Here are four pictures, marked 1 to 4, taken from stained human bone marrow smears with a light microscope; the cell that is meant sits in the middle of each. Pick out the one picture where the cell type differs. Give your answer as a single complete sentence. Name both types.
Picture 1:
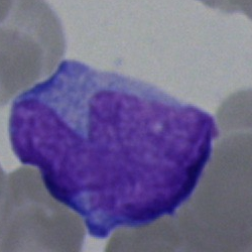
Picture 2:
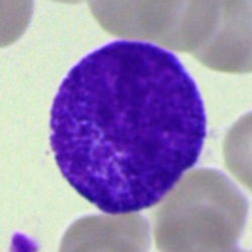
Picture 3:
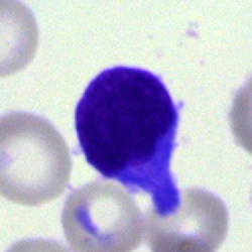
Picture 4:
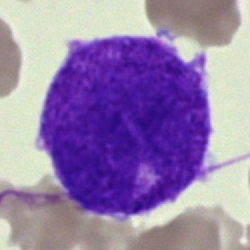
The others show blasts, but picture 2 shows a promyelocyte.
